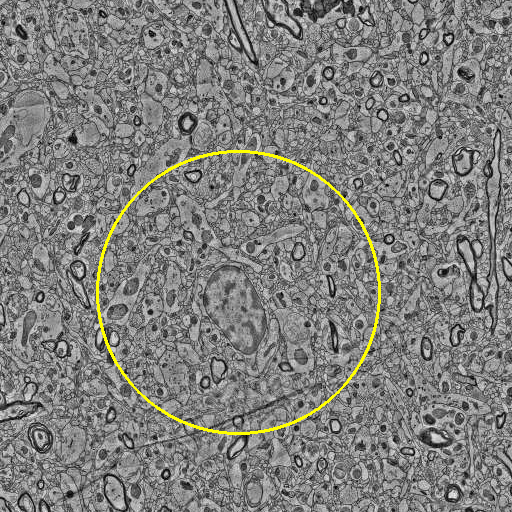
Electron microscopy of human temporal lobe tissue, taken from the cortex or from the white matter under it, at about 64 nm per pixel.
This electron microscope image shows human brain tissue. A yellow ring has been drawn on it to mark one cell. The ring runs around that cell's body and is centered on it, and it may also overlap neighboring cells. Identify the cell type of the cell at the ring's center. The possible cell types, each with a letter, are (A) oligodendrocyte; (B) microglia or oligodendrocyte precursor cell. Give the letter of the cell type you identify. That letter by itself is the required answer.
B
